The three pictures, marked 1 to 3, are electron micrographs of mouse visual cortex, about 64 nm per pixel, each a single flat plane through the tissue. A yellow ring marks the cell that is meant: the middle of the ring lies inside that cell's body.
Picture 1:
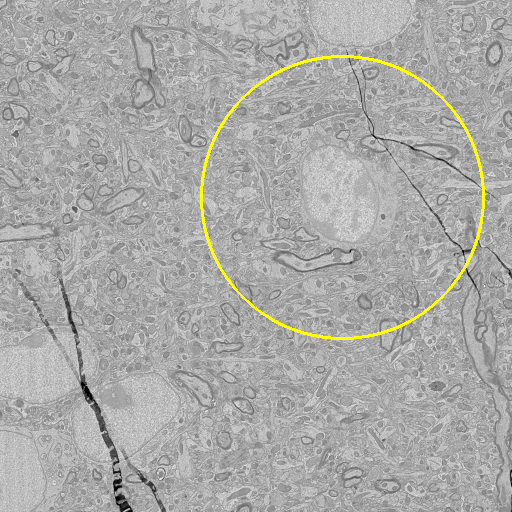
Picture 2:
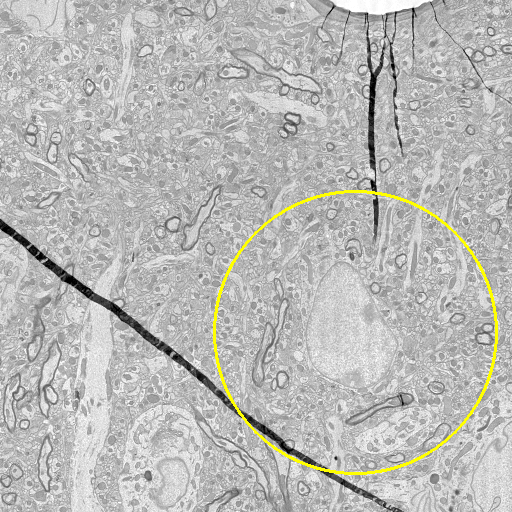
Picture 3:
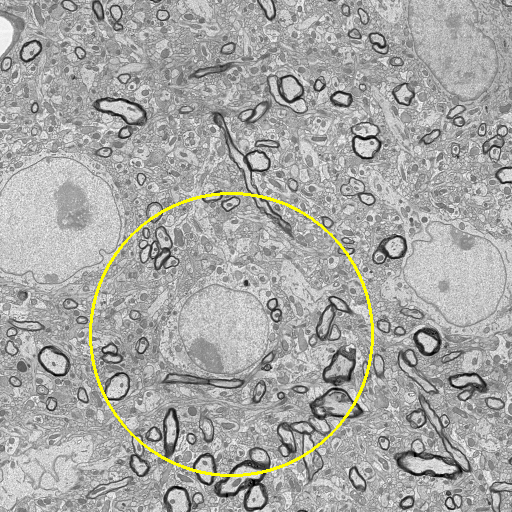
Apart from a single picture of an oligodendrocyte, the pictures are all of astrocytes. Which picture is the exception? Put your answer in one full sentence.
Picture 1 is the one that shows the oligodendrocyte.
